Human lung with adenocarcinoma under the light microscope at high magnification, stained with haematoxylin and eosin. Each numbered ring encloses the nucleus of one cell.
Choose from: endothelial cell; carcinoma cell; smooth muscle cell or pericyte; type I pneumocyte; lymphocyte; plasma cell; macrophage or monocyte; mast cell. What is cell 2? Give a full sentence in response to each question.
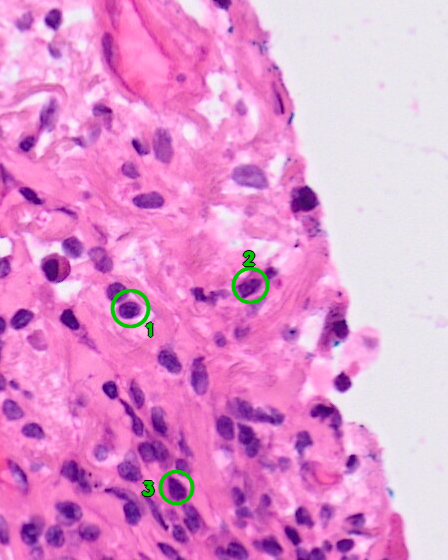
In the marked set, the cell given number 2 is a plasma cell.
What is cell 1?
At number 1, the marked cell is a lymphocyte.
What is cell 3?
The cell given label 3 is a plasma cell.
